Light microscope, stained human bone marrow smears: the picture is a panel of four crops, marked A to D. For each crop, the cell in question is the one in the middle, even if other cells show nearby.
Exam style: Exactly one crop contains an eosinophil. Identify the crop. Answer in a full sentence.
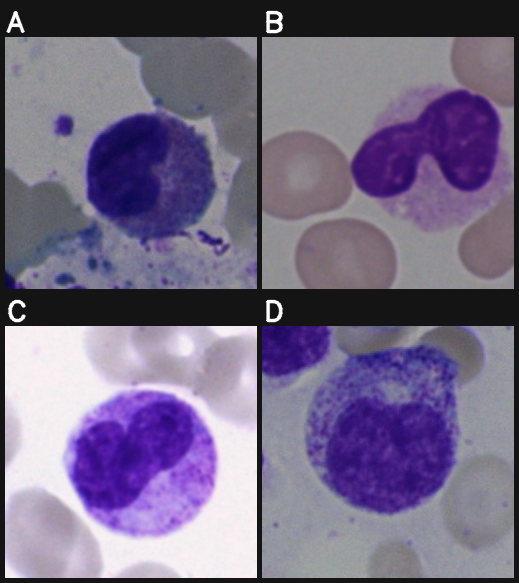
Among these crops, crop A holds an eosinophil.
